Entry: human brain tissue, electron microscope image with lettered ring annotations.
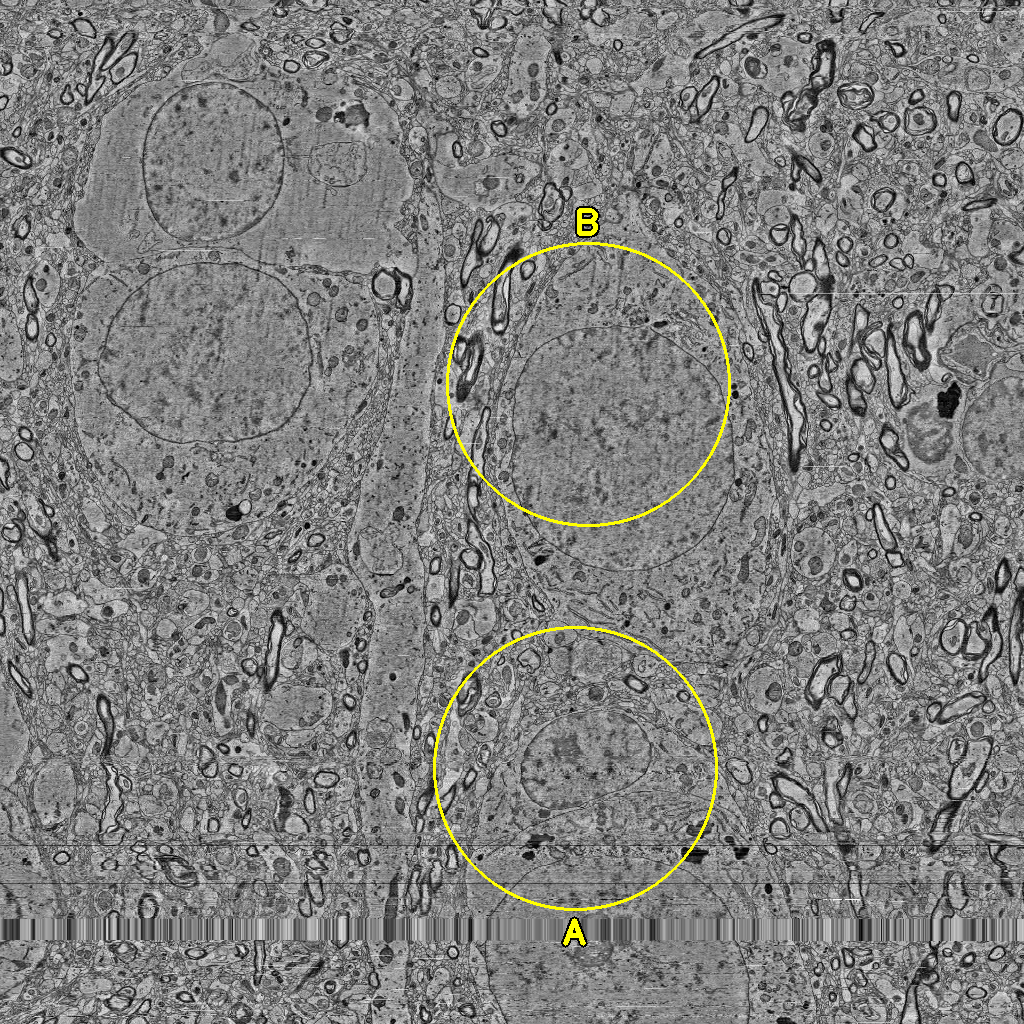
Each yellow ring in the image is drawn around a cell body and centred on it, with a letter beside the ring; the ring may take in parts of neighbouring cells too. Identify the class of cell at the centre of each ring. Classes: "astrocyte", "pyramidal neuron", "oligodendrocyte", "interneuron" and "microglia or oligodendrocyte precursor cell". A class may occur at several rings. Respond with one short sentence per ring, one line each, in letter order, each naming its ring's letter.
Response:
Ring A holds a microglial cell or oligodendrocyte precursor cell at its centre.
Ring B holds a pyramidal neuron at its centre.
